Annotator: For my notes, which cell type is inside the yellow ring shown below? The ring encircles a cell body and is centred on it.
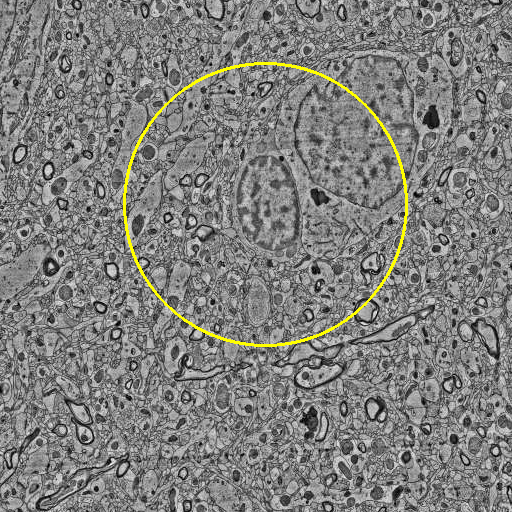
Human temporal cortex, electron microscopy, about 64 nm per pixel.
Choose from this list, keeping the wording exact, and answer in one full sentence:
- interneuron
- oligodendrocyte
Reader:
At the centre of the yellow ring there is an oligodendrocyte, as shown in the picture.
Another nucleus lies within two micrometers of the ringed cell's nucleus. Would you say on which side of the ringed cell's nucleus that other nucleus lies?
That nucleus lies to the upper right of it.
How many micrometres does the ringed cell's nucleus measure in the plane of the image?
The nucleus measures about 6 by 4 micrometres, so it is clearly longer than it is wide in this plane.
